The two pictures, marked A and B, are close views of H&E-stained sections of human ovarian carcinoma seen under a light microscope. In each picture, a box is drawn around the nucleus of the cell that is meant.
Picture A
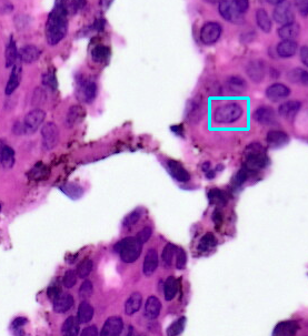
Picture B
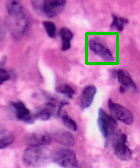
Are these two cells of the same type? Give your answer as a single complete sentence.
Yes, they are the same type: both are “macrophages or monocytes”.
